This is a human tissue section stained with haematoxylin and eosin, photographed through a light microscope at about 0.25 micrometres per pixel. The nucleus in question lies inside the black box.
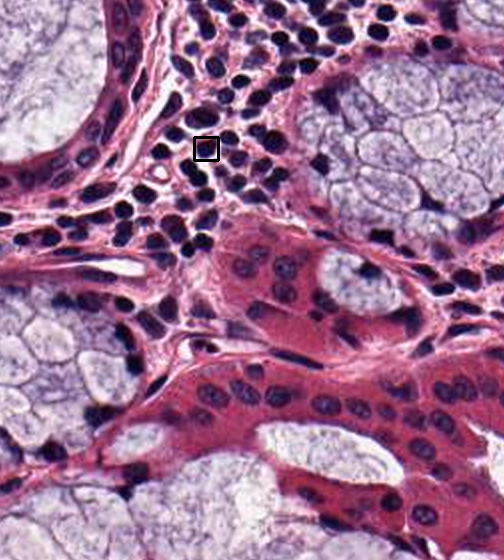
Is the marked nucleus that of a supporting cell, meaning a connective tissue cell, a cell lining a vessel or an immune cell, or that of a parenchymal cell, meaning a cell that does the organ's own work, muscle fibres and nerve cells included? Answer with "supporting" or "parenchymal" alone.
supporting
